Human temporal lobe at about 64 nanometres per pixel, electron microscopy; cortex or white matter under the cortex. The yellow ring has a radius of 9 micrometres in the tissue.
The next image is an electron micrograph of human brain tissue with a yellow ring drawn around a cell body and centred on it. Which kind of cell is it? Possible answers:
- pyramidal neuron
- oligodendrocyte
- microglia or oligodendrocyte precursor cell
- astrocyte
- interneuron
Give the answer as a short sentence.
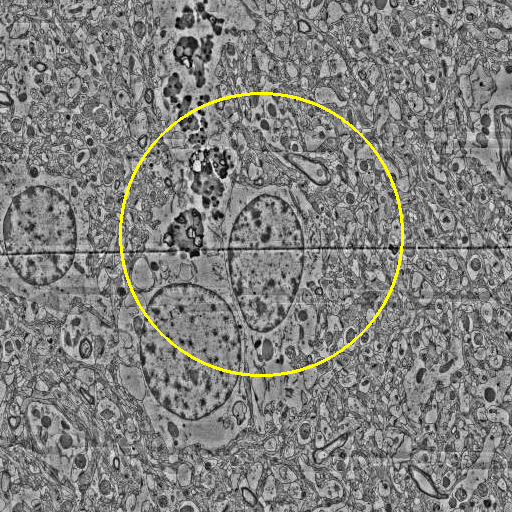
In the ring's centre is an astrocyte.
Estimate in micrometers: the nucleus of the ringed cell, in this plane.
The nucleus is about 9 micrometres in length and 5 in width, clearly longer than it is wide in this plane.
